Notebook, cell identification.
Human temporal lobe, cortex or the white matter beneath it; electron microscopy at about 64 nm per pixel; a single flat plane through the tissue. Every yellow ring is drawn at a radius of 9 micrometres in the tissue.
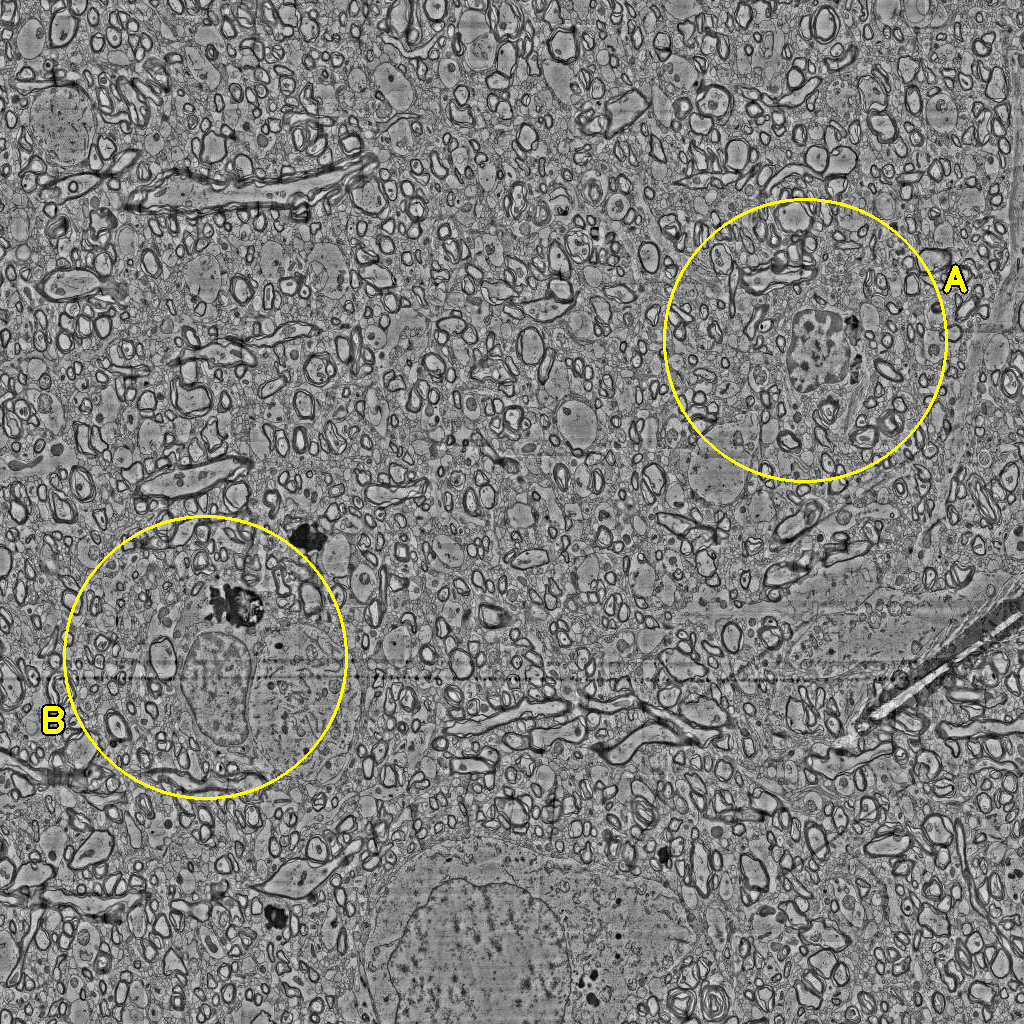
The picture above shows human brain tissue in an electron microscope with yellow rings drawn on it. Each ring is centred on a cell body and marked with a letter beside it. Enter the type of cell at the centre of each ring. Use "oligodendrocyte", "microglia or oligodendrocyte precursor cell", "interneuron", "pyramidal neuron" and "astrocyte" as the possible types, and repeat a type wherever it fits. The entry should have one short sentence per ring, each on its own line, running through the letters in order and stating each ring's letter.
The cell body in ring A belongs to a microglial cell or oligodendrocyte precursor cell.
The cell body in ring B belongs to an oligodendrocyte.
